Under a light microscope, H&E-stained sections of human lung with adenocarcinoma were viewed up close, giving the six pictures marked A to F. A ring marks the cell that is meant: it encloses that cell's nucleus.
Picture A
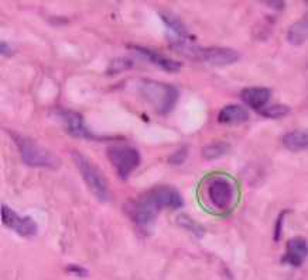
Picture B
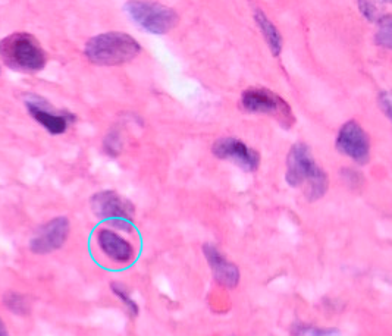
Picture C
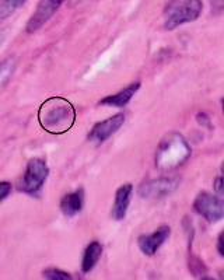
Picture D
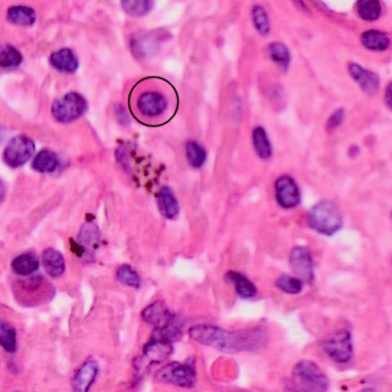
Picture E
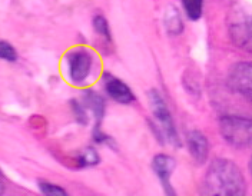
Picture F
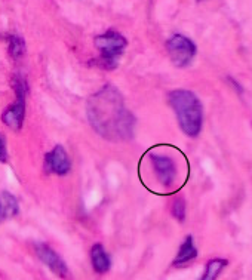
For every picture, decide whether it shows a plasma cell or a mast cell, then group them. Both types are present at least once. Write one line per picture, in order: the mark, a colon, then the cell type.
A: plasma cell
B: mast cell
C: mast cell
D: mast cell
E: plasma cell
F: mast cell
